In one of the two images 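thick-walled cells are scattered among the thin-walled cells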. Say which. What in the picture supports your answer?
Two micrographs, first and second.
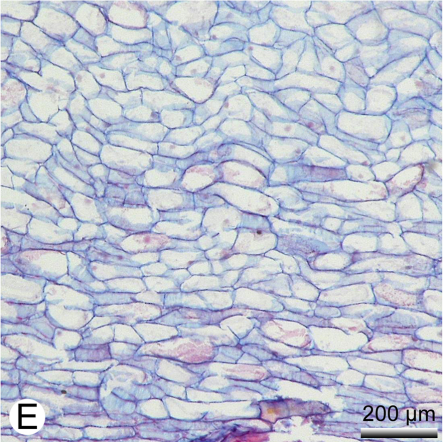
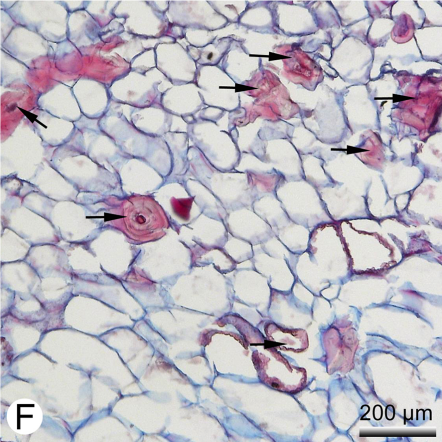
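Second image: several cells with thick, deep pink-red walls lie among thin-walled cells. The answer: the second image.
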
